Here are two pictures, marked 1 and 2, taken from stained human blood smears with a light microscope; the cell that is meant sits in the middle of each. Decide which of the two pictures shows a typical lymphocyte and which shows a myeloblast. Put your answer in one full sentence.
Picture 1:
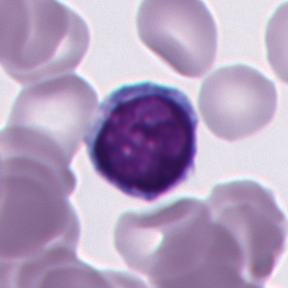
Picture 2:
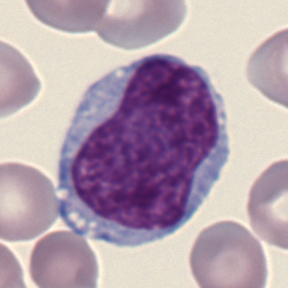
Picture 1 shows a typical lymphocyte and picture 2 shows a myeloblast.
